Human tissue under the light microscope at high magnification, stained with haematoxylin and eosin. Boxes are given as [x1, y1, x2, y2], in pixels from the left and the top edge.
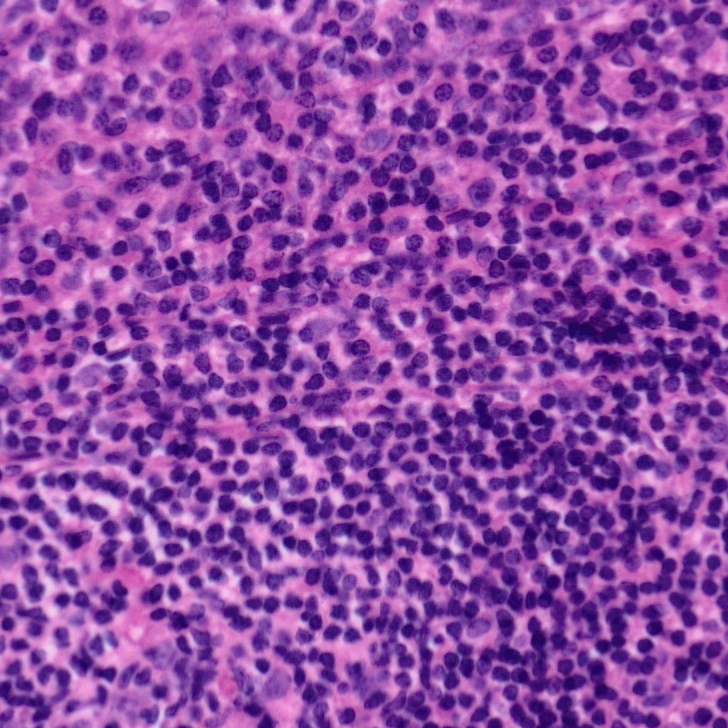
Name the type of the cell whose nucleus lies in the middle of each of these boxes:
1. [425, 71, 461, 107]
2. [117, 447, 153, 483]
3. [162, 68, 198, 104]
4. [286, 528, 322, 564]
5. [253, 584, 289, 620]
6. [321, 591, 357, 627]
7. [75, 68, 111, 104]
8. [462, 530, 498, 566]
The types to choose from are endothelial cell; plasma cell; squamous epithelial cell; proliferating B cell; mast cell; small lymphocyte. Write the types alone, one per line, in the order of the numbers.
plasma cell
small lymphocyte
plasma cell
small lymphocyte
small lymphocyte
small lymphocyte
squamous epithelial cell
small lymphocyte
